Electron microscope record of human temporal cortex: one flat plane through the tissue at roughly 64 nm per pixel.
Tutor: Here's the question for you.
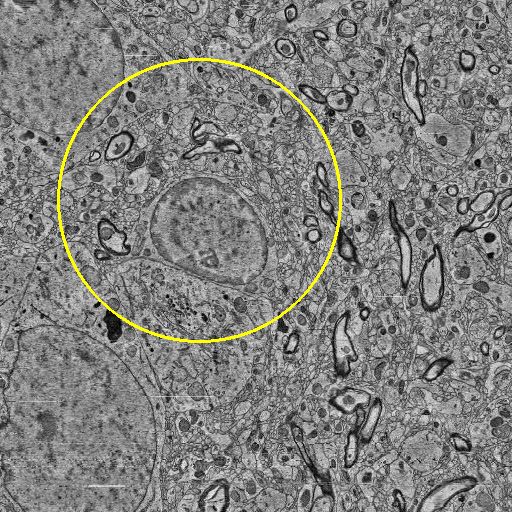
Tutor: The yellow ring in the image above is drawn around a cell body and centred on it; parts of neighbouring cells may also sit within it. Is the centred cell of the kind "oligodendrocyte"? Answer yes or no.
yes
